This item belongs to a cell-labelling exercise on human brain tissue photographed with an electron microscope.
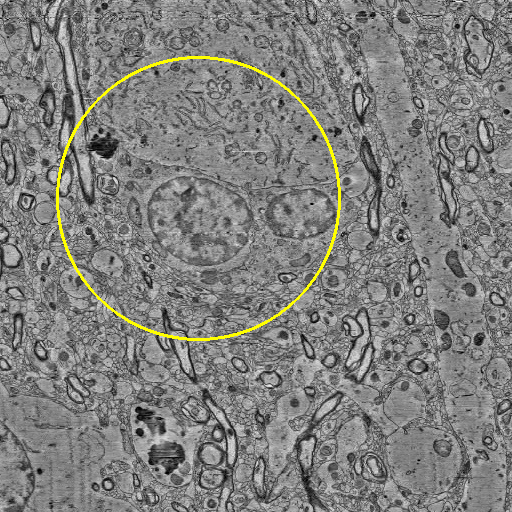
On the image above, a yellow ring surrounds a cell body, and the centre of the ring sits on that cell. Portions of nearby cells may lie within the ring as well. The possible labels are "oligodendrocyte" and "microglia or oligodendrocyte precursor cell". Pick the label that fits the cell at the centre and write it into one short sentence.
This cell should be labelled as an oligodendrocyte.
